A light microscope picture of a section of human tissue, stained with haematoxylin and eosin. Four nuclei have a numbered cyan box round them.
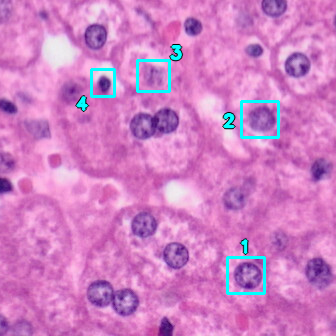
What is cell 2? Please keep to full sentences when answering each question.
What the number 2 marks in this field is a hepatocyte.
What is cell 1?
Recognised here as a hepatocyte is the cell numbered 1.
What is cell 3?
In this section, the cell tagged 3 is a hepatocyte.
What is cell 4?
Nucleus 4 in this section belongs to a lymphocyte.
